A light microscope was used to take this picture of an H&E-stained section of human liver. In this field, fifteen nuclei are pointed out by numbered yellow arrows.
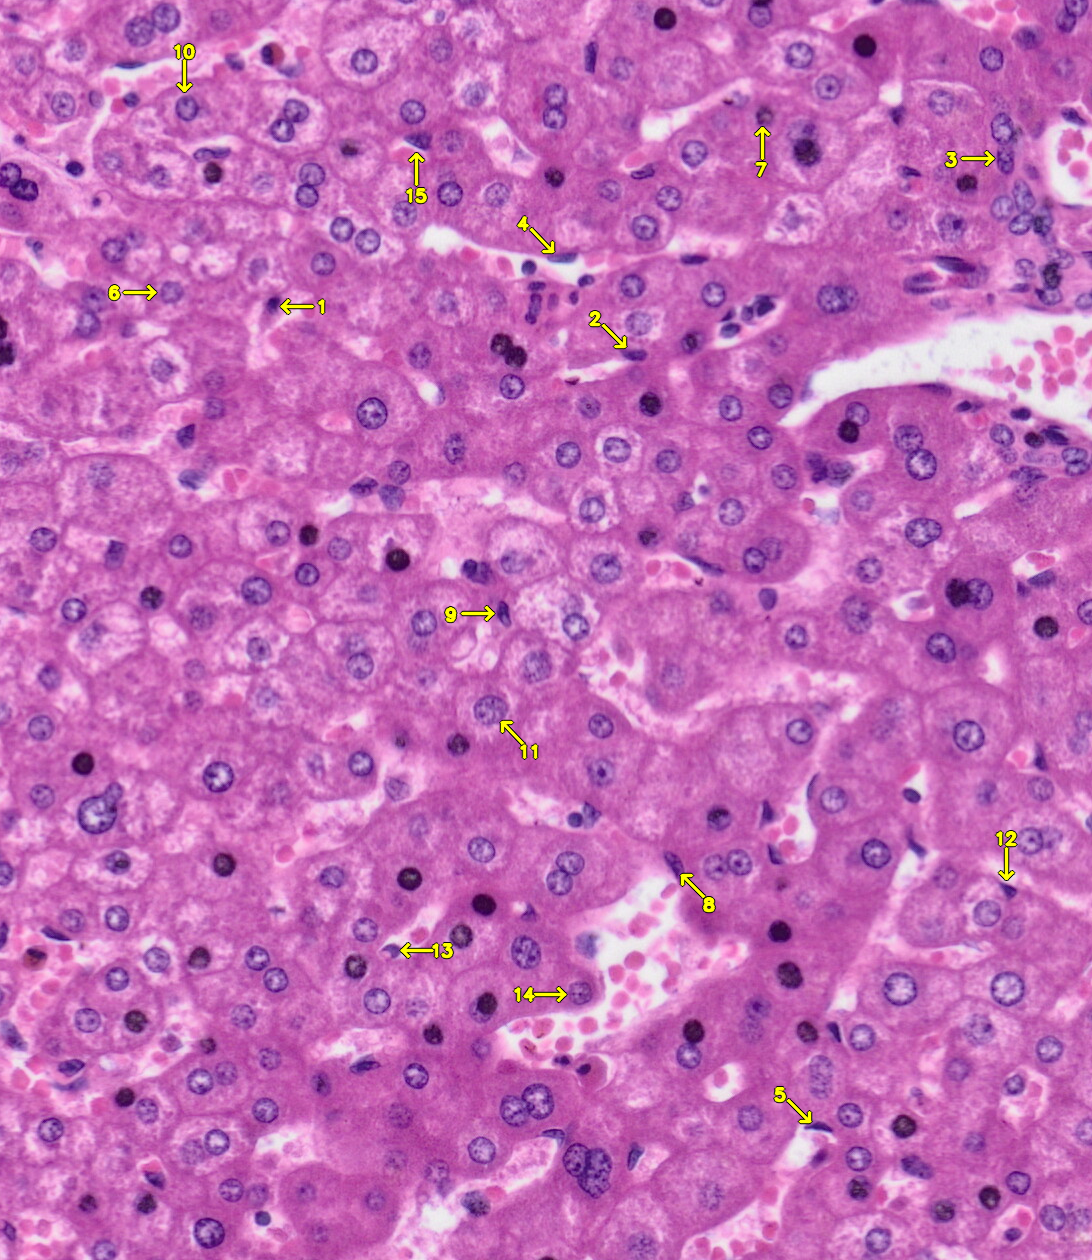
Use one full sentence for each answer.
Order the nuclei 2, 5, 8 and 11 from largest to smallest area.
The nuclei rank 11, 8, 2, 5, from largest to smallest.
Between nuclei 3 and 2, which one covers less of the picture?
Number 2 is smaller, since number 3 takes up about 1.5 times as much area.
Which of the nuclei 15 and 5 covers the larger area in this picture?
Nucleus 15 covers more area, about 2 times as much as nucleus 5.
